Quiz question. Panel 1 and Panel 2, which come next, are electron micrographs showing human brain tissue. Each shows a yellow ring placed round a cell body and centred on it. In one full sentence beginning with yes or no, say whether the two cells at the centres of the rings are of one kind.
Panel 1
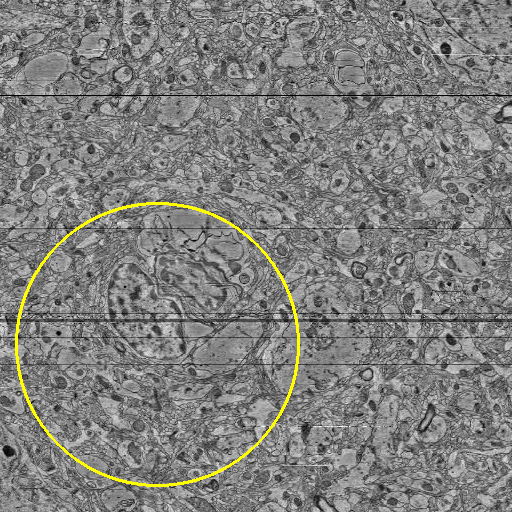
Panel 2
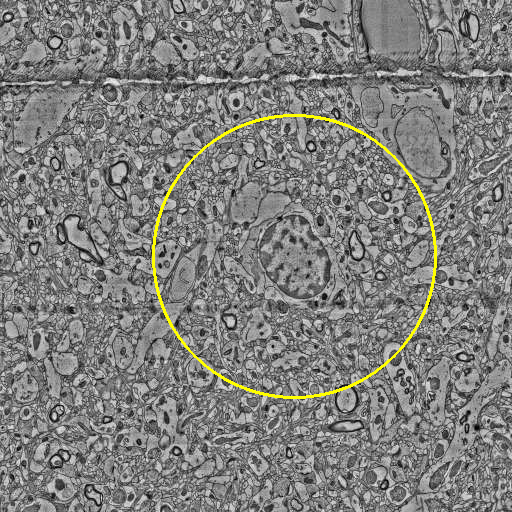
Yes, Panel 1 and Panel 2 show one kind of cell at the centre of the ring.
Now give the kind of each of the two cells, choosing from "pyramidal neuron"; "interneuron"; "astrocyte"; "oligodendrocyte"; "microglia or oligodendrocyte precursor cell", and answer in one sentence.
Each cell, in the first picture and the second, is a microglial cell or oligodendrocyte precursor cell.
